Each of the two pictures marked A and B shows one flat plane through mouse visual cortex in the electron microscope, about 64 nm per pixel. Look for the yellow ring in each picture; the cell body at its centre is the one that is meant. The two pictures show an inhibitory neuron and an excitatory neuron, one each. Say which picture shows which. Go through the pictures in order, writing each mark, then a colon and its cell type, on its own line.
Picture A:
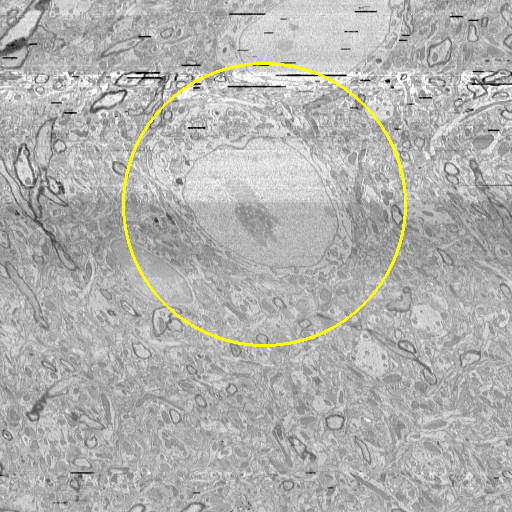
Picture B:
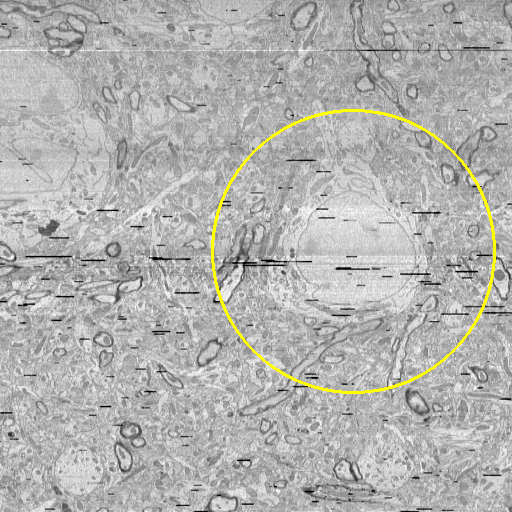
A: inhibitory neuron
B: excitatory neuron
